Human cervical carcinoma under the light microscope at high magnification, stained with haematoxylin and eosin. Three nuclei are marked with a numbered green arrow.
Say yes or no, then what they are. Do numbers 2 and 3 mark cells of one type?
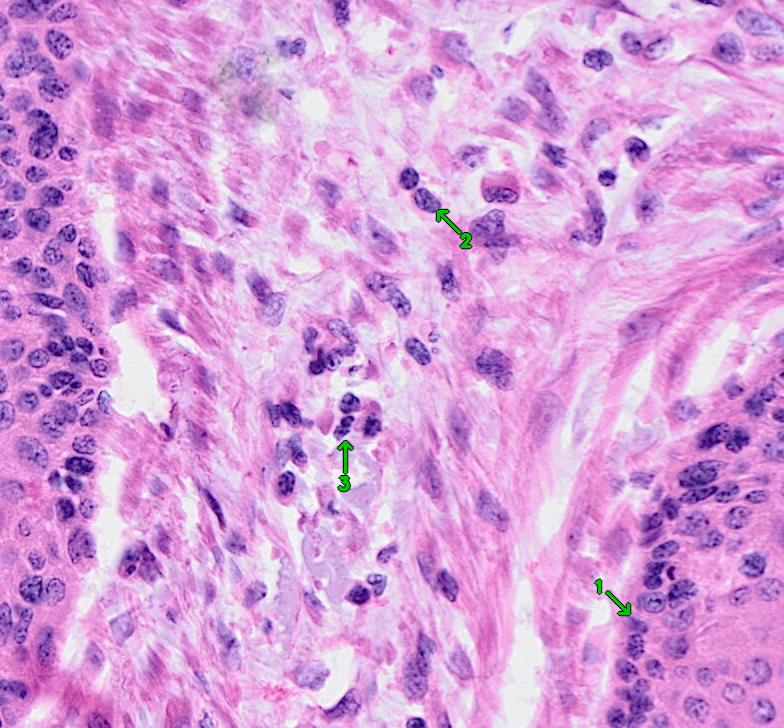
Yes, and to be precise, cells 2 and 3 are both lymphocytes.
